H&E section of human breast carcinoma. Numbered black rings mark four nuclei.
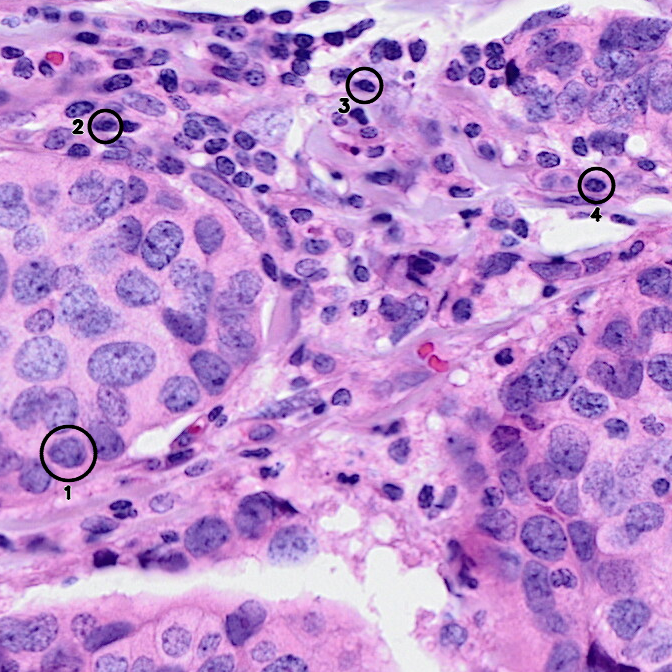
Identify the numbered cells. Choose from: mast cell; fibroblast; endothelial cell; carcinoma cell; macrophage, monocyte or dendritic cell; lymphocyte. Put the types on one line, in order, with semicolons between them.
carcinoma cell; lymphocyte; lymphocyte; lymphocyte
